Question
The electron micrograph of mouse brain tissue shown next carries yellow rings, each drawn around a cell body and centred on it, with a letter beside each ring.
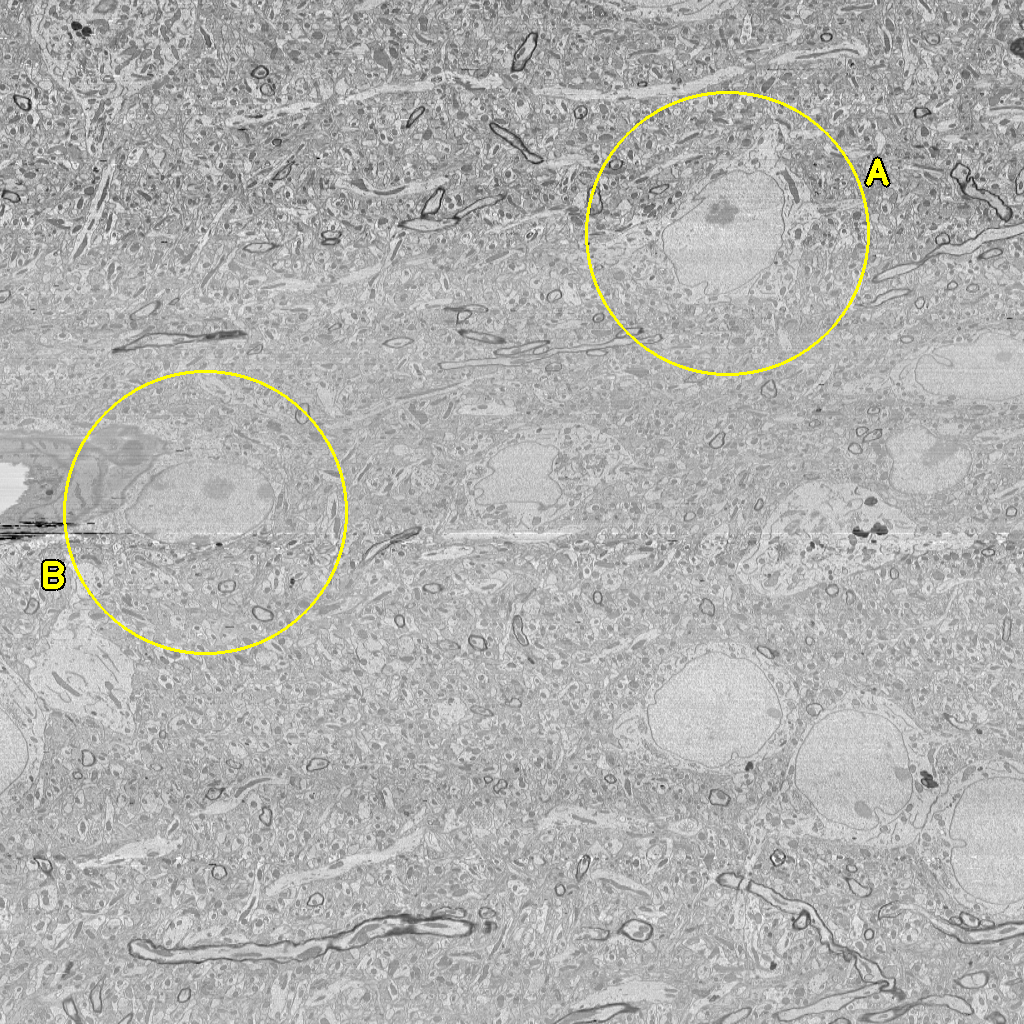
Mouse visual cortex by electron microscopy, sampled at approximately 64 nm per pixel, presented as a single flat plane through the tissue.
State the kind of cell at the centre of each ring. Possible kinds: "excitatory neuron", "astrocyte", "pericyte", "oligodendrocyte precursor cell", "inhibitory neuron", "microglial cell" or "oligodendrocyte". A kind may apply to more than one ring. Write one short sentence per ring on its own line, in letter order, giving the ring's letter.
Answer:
The cell centred in ring A is an excitatory neuron.
The cell centred in ring B is an astrocyte.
